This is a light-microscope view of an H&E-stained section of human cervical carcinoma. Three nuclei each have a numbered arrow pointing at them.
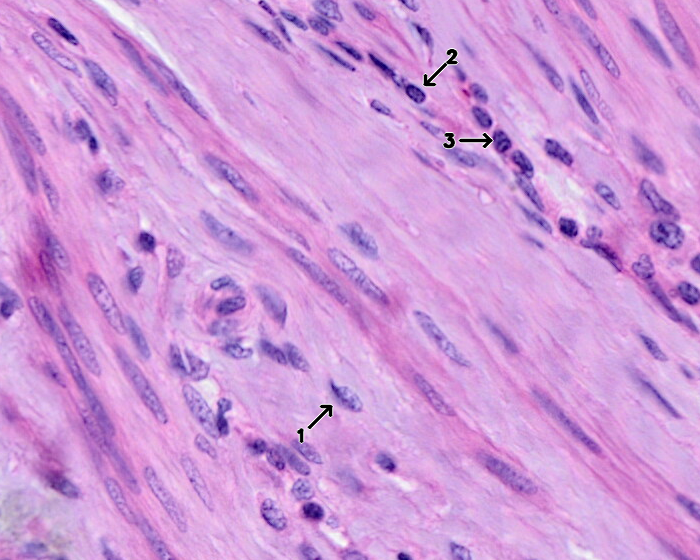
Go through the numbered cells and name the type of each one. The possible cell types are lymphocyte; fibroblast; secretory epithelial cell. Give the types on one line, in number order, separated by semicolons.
fibroblast; lymphocyte; lymphocyte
